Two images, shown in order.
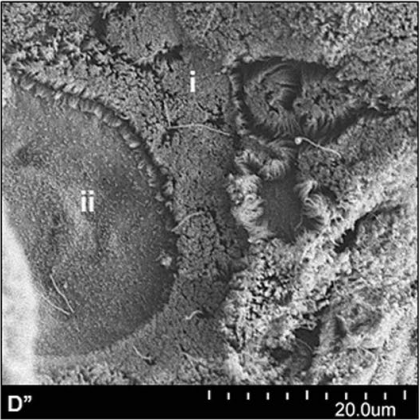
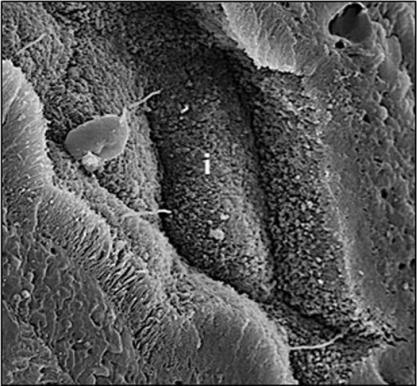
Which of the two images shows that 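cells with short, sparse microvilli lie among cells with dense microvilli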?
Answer: the first image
